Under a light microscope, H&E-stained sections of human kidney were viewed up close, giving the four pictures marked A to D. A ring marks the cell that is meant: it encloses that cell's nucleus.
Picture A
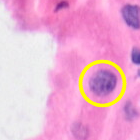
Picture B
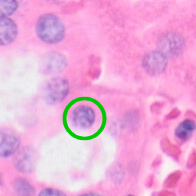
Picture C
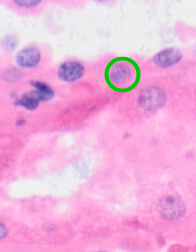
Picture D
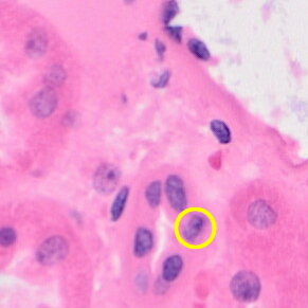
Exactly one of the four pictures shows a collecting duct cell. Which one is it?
D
